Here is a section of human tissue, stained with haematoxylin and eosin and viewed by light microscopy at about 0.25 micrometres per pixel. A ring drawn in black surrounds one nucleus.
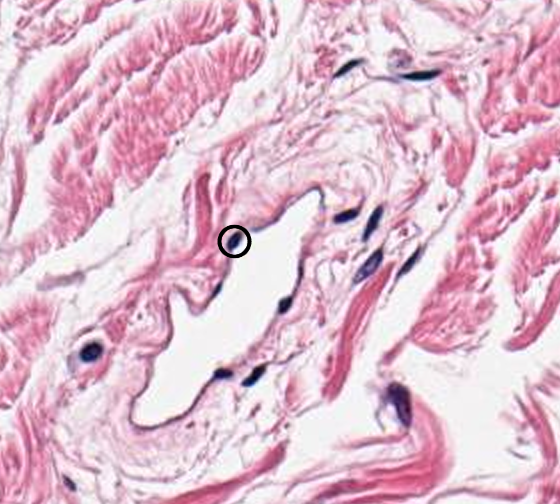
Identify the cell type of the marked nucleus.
endothelial cell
